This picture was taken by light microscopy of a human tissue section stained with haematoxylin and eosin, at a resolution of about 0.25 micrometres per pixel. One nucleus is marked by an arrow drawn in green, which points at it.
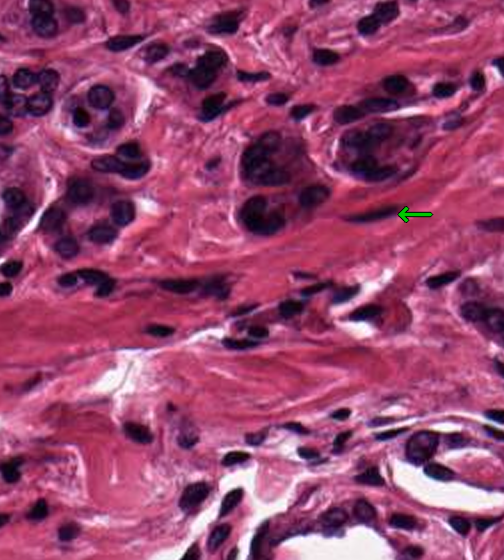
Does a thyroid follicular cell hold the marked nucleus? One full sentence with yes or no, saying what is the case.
No, it is a supporting cell, not a thyroid follicular cell, to which the marked nucleus belongs.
